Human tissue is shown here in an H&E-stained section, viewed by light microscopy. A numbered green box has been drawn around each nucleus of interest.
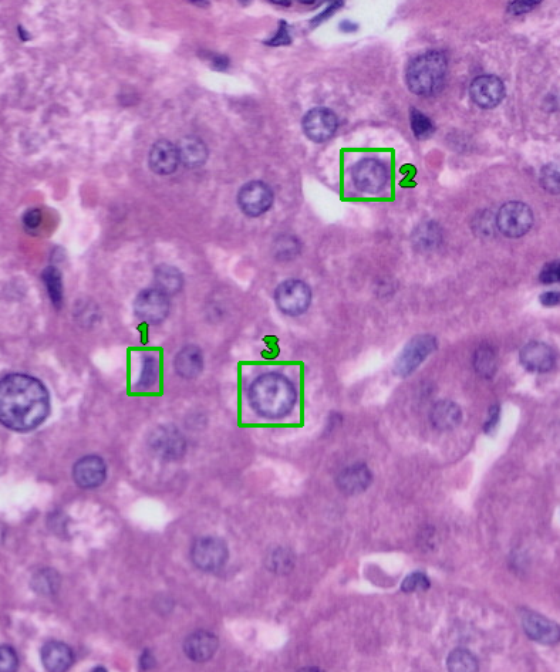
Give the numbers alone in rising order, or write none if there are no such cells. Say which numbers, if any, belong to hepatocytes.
2, 3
